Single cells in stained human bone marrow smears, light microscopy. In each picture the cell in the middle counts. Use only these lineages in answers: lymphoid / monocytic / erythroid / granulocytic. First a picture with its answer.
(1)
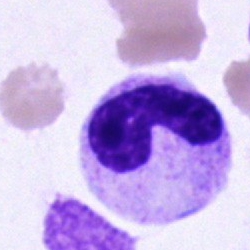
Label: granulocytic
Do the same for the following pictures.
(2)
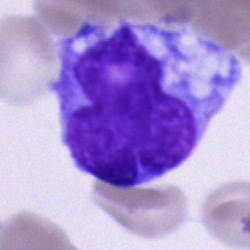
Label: monocytic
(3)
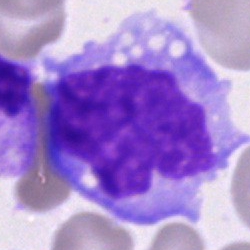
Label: monocytic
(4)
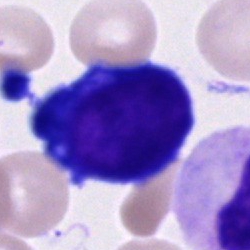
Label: erythroid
